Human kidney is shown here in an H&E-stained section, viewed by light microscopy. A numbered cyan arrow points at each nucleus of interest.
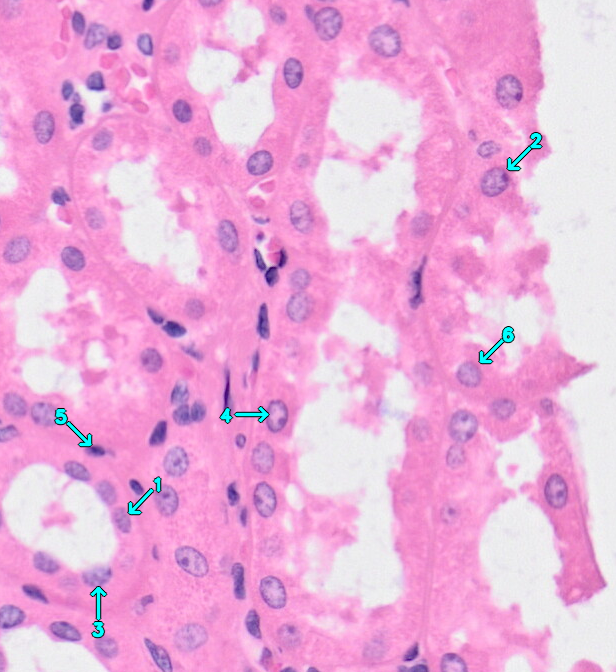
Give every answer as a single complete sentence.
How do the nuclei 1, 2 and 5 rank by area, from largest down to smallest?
By area, largest first, they run 2, 1, 5.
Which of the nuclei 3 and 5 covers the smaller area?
The smaller nucleus is 5, and 3 covers roughly 2.5 times its area.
